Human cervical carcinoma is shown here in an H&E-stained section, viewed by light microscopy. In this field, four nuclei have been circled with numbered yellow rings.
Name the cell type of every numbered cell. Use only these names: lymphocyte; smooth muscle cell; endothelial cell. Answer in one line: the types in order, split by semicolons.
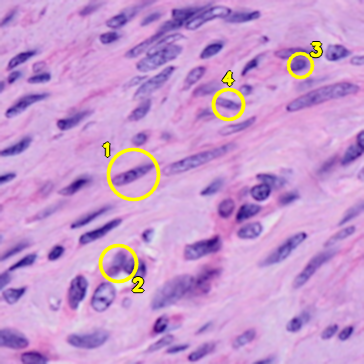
smooth muscle cell; endothelial cell; smooth muscle cell; smooth muscle cell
